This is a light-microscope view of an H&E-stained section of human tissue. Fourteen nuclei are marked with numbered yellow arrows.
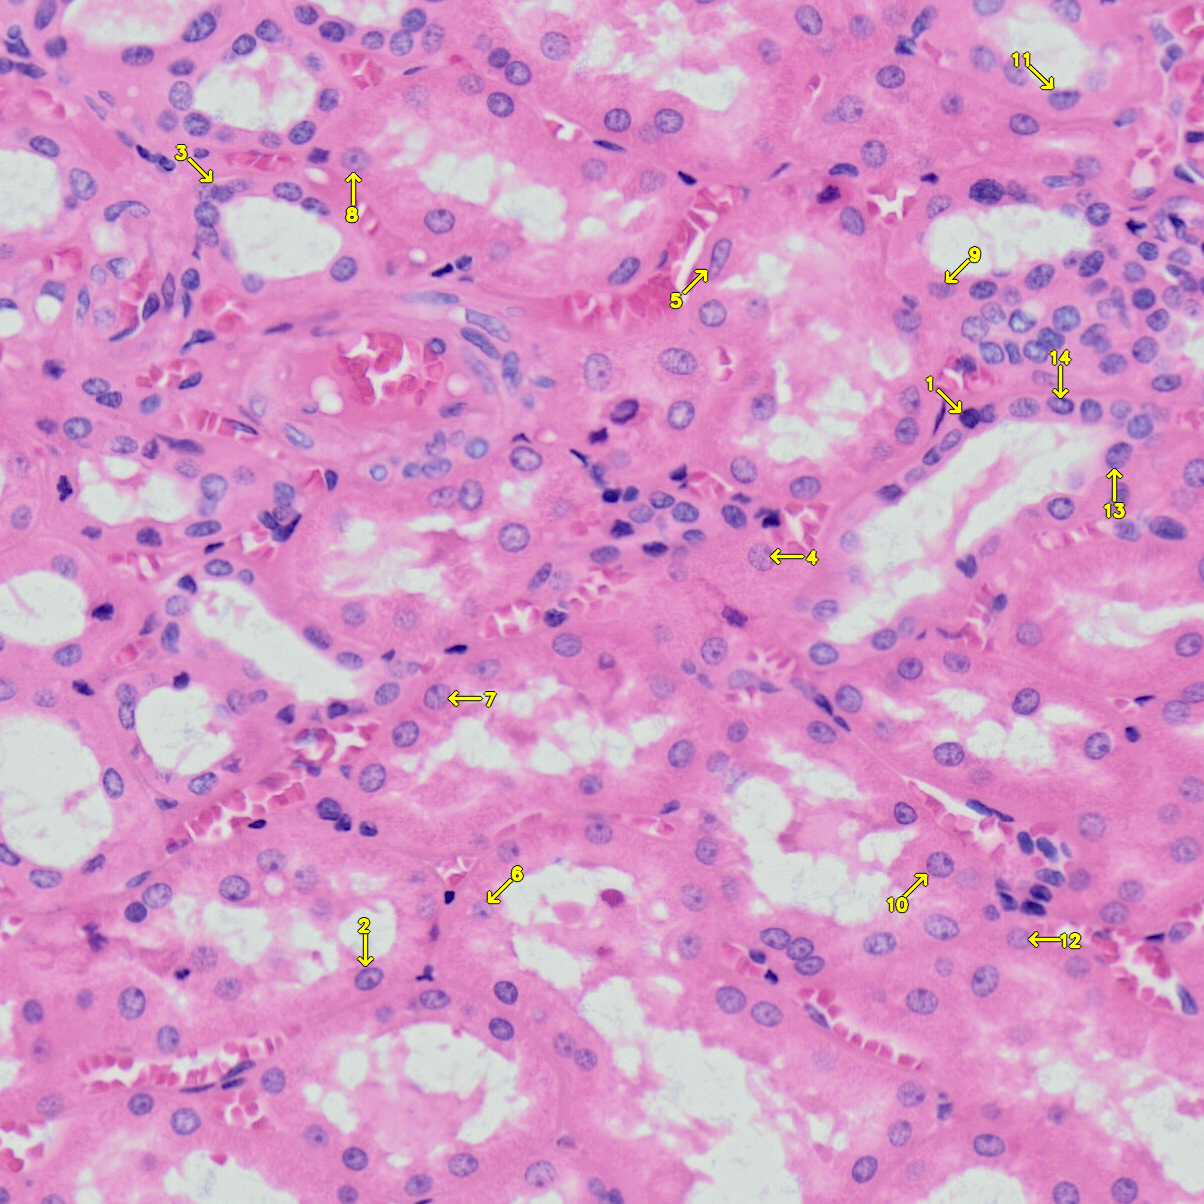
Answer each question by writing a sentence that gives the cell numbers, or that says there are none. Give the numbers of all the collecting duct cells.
The cells marked by the numbers 1, 3, 13 and 14 are collecting duct cells.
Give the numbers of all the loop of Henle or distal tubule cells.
The cells marked by the numbers 9 and 11 are loop of Henle or distal tubule cells.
